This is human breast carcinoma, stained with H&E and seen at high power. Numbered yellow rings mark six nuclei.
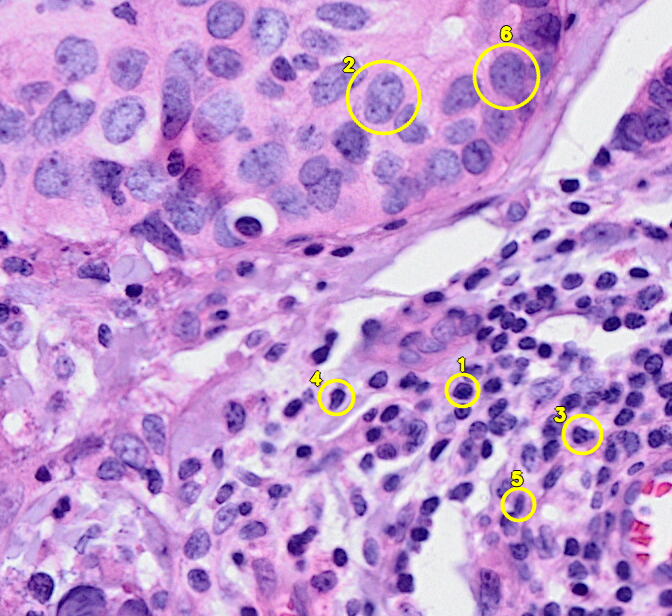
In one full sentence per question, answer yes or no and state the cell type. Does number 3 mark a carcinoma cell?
No, cell 3 is a lymphocyte and should not be called a carcinoma cell.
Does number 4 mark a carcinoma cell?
No, it is a lymphocyte, not a carcinoma cell, at number 4.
